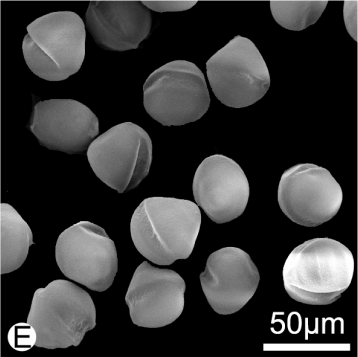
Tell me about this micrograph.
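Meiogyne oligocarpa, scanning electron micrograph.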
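Many separate, rounded to slightly angular grains lie scattered on a dark background, each of similar size and with a smooth-looking surface at this magnification. On several grains a single straight groove or slit crosses the face, and a few appear tilted so the groove is seen edge-on.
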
